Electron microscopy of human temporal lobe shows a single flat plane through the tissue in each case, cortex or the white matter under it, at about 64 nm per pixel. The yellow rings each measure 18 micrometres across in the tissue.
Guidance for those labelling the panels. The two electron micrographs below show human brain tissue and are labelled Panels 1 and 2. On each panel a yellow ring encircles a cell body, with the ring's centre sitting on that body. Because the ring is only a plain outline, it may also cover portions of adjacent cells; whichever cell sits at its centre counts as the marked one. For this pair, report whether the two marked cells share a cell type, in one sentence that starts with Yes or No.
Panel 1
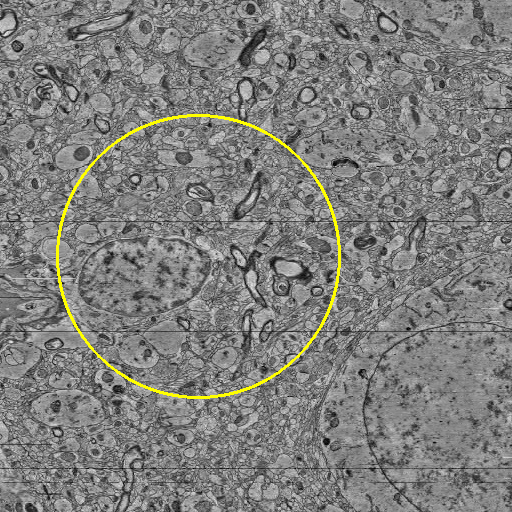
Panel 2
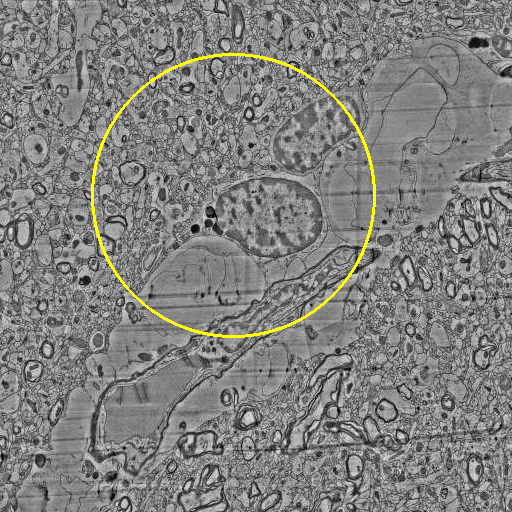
Yes, in Panel 1 and Panel 2 the marked cells at the ring centres share one type.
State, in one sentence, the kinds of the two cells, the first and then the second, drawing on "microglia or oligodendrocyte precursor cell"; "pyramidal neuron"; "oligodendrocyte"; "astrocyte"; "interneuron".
The ring centre holds a microglial cell or oligodendrocyte precursor cell in each of the two pictures.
